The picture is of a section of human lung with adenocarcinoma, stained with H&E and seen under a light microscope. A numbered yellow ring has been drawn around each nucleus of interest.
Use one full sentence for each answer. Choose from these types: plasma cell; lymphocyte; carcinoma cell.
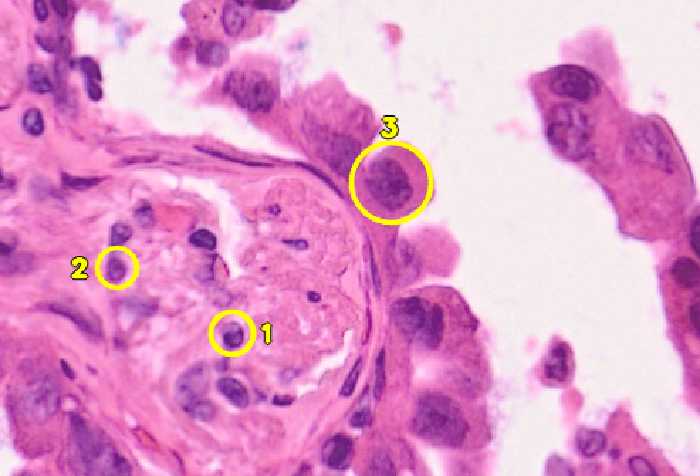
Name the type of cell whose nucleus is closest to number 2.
Number 2 lies closest to the nucleus of a lymphocyte.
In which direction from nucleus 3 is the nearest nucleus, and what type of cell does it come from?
The nearest one is a carcinoma cell, found above and to the left of nucleus 3.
